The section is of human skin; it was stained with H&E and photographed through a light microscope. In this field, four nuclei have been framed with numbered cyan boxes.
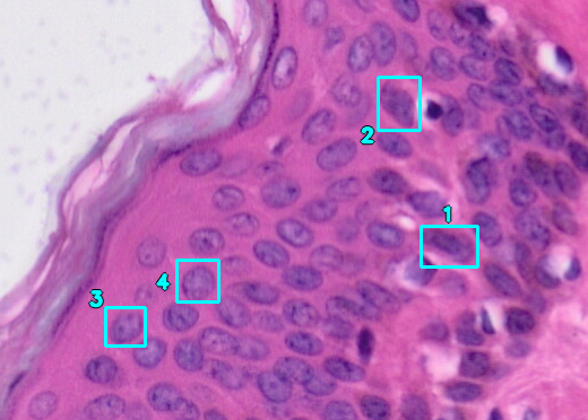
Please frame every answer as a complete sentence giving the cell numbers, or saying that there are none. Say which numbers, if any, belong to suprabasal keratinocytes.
Within the section, cells numbered 3 and 4 are suprabasal keratinocytes.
